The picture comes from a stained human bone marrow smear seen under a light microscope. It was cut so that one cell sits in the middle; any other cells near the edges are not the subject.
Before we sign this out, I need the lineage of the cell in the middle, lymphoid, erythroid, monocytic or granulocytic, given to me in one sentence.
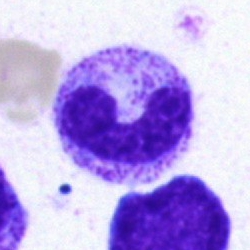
Lineage field for the centered cell should read granulocytic.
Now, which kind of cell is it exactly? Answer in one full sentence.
The middle of this crop is occupied by a band neutrophil.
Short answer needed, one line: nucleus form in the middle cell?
A single compact nucleus is present, shaped round, oval or like a kidney.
